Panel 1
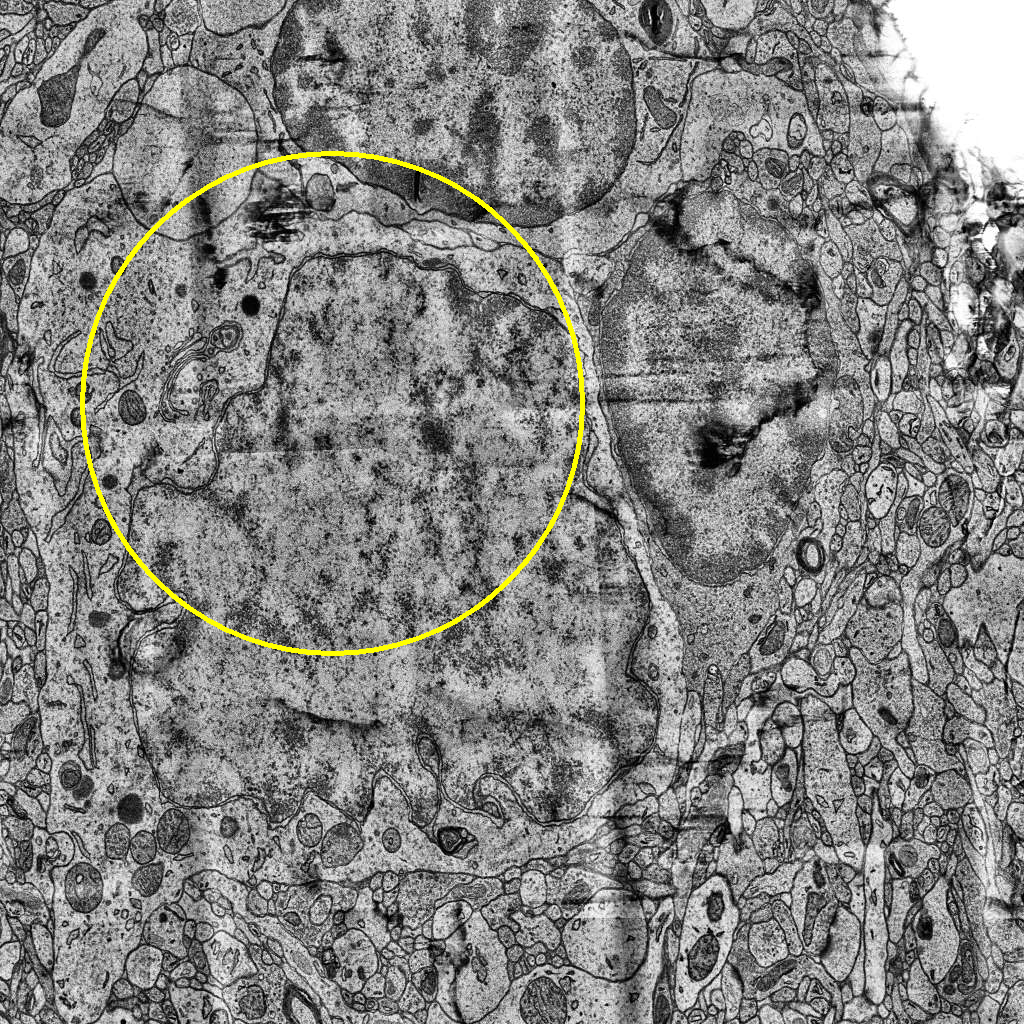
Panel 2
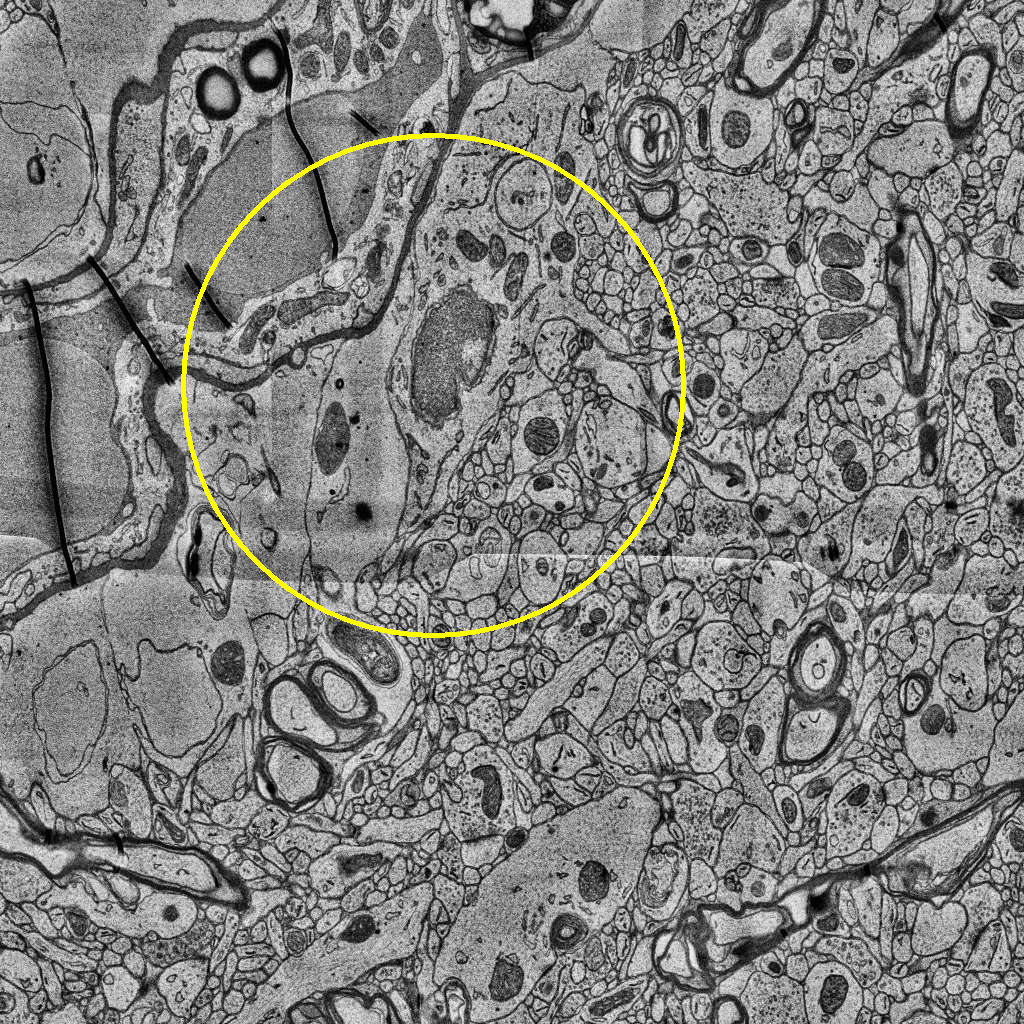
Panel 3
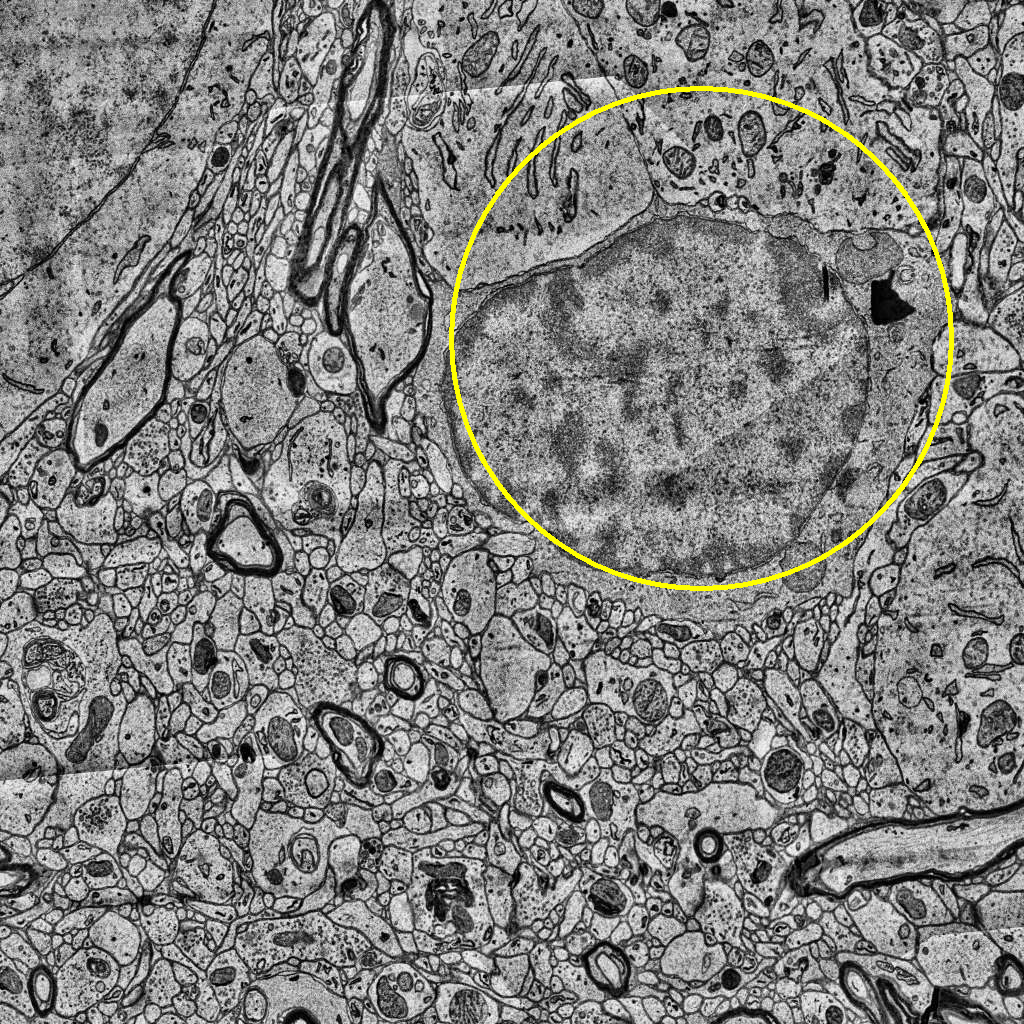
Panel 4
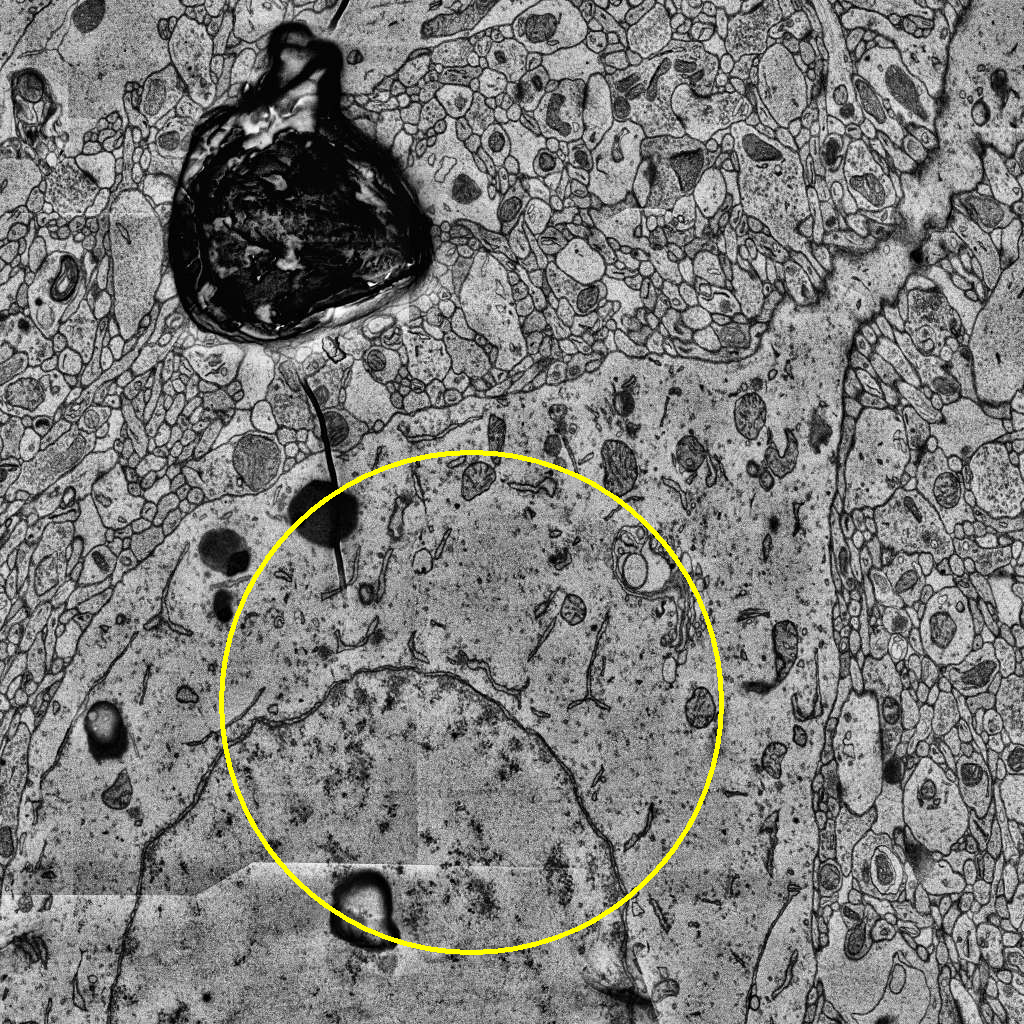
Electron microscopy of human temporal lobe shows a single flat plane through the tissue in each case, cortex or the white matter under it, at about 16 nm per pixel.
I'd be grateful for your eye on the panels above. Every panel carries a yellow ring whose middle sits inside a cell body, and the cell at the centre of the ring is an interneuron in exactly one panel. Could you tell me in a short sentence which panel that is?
Panel 1 is the one with it at the centre of the ring.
